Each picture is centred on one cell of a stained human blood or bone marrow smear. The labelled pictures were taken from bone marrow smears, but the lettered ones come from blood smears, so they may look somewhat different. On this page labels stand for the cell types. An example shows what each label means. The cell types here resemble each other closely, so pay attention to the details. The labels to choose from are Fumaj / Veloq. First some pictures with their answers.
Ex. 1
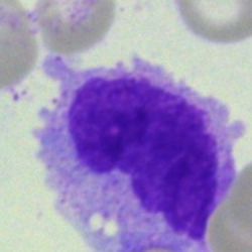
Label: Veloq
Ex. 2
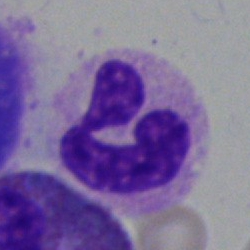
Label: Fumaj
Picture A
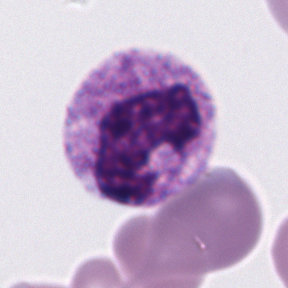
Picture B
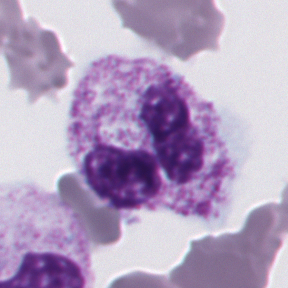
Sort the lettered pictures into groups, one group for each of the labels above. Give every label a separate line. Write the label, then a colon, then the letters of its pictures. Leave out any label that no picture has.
Fumaj: A, B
